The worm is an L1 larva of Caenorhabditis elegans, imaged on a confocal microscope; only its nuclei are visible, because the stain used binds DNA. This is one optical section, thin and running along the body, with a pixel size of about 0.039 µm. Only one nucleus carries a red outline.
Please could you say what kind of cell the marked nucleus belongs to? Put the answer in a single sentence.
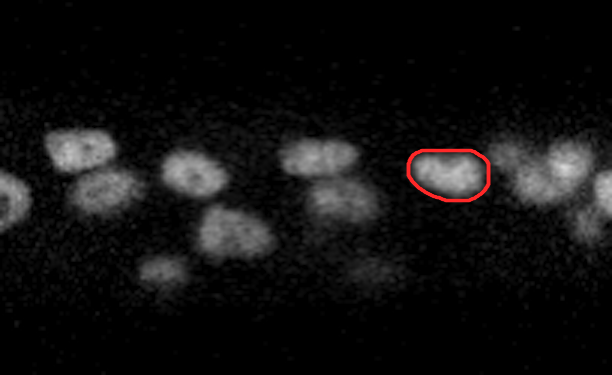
The marked cell is an enteric muscle cell.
